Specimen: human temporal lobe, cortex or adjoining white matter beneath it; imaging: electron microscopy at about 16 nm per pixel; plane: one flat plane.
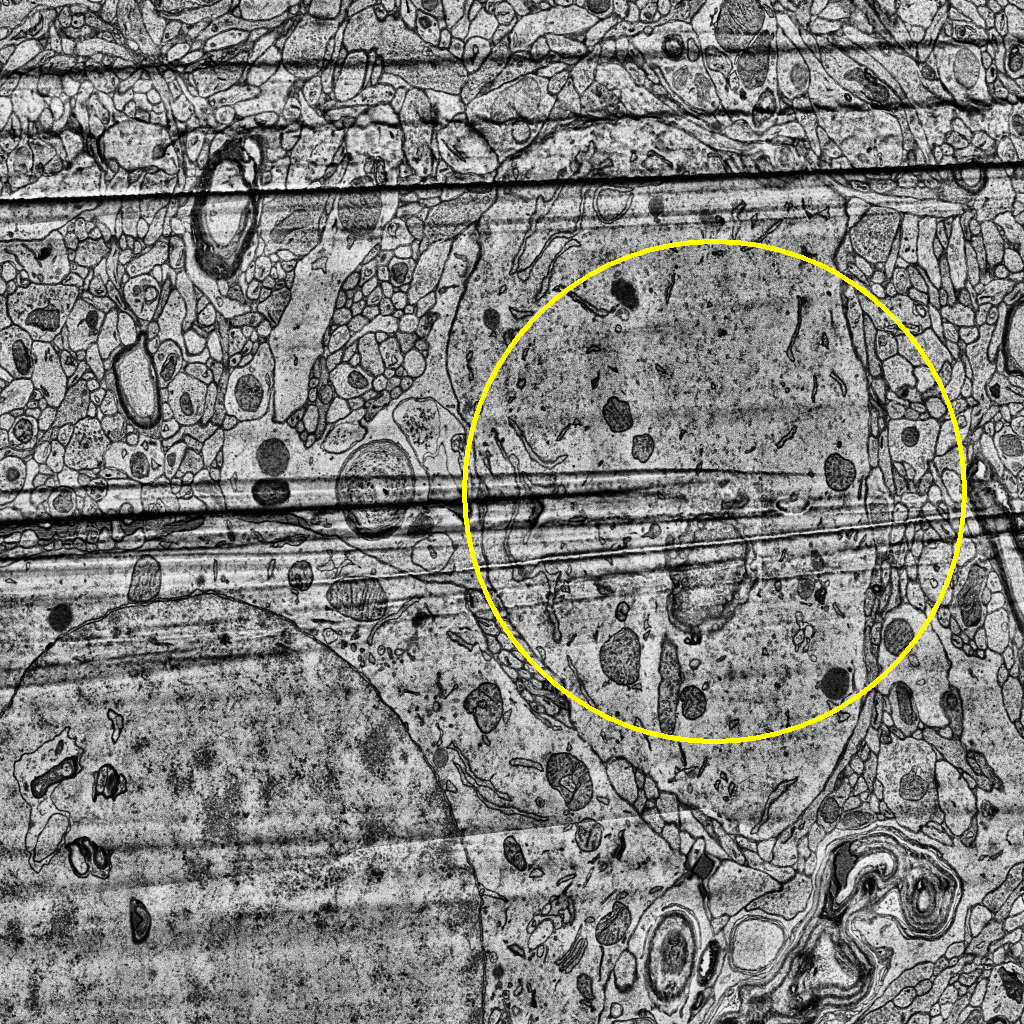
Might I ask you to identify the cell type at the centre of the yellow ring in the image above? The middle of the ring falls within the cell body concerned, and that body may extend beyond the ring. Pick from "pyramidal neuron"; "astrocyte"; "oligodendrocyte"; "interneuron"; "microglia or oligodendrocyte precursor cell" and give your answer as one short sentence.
The centre of the ring falls on a pyramidal neuron.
